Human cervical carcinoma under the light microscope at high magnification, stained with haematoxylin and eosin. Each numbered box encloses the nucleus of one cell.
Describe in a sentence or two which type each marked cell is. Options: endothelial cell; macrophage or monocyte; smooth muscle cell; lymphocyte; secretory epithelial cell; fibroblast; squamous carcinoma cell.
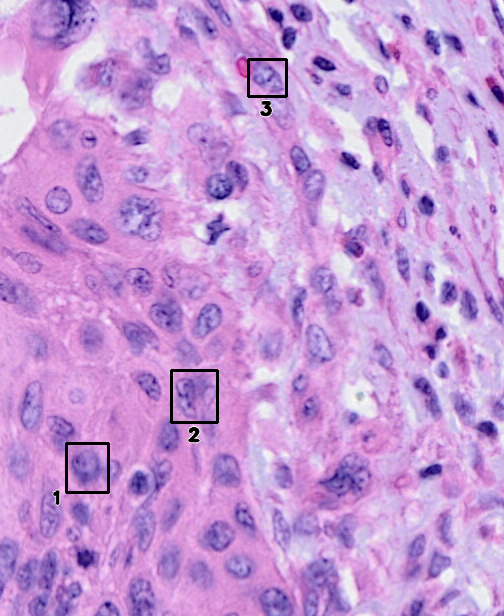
Cells 1 and 2 are squamous carcinoma cells. Cell 3 is an endothelial cell.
